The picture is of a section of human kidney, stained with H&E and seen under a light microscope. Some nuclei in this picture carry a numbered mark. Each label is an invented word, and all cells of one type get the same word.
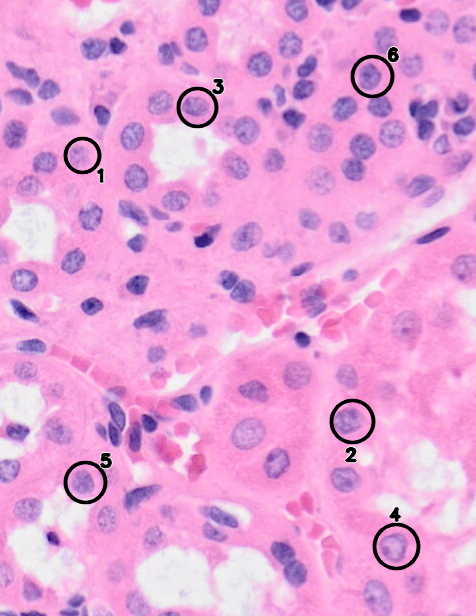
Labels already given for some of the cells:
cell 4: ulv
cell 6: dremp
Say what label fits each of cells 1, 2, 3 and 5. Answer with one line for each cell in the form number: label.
1: dremp
2: ulv
3: dremp
5: dremp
